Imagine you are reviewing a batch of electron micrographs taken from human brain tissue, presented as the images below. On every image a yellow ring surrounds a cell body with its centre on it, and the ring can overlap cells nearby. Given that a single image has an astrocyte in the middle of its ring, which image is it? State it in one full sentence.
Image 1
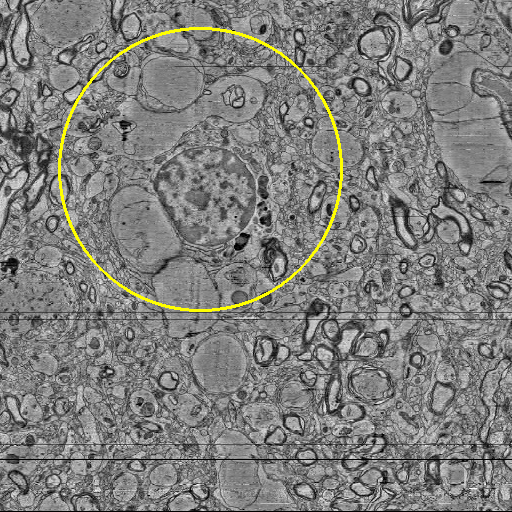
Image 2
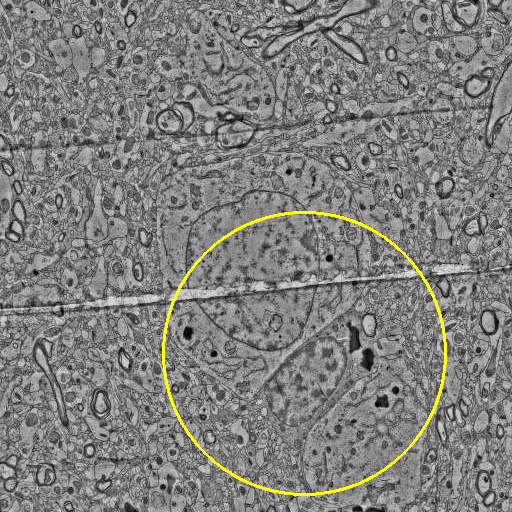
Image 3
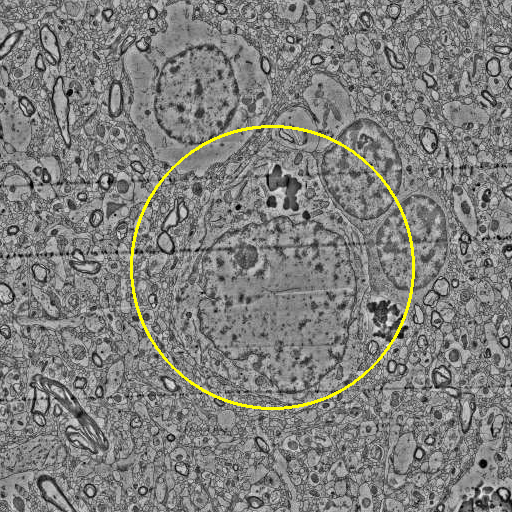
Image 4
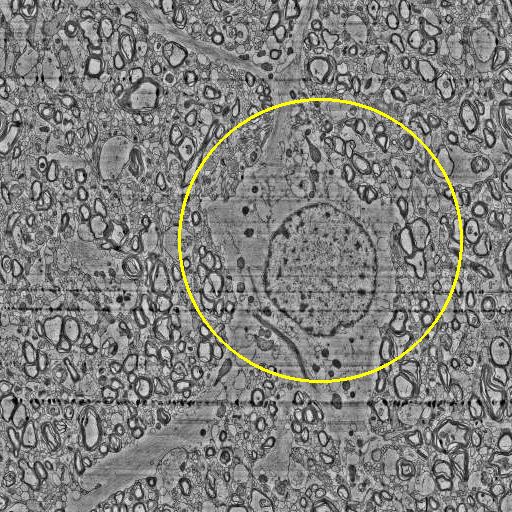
Of all the images, number 4 has the described cell at the centre of its ring.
